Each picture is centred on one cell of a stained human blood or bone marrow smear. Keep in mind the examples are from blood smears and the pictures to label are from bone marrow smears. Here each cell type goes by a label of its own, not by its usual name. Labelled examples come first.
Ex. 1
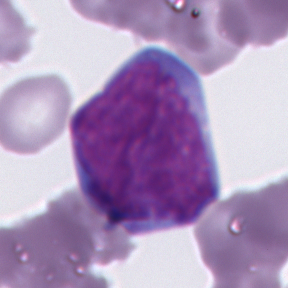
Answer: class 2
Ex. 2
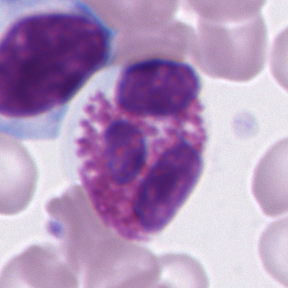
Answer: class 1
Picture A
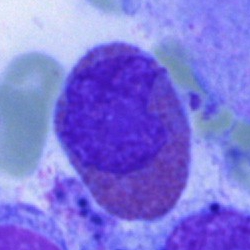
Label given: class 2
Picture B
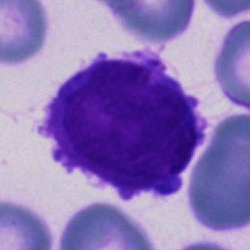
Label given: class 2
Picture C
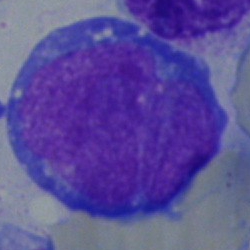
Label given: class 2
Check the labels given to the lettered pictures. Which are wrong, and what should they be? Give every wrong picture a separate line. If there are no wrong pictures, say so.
A: class 1, not class 2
